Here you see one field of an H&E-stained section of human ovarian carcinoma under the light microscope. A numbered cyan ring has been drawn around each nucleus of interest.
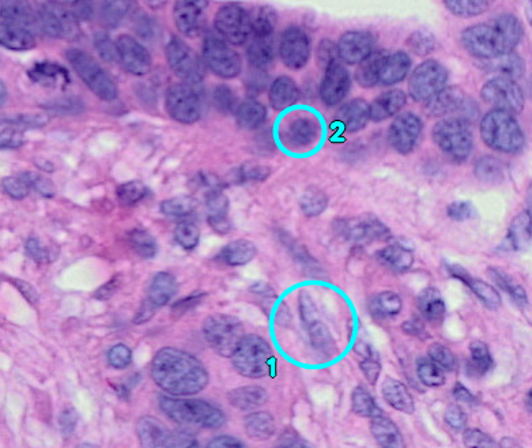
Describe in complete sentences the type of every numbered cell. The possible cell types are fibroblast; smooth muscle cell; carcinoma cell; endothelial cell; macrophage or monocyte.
Cell 1 is a fibroblast and cell 2 is a carcinoma cell.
